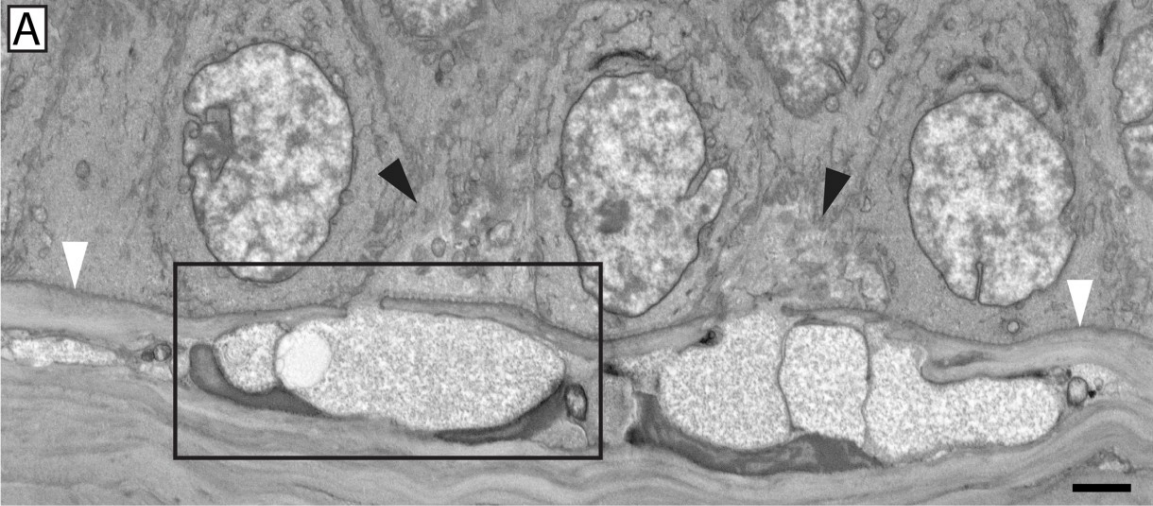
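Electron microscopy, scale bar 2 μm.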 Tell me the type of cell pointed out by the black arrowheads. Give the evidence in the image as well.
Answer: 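The marked cells lie just above pale nerve profiles. On this evidence: basal epithelial cells.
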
